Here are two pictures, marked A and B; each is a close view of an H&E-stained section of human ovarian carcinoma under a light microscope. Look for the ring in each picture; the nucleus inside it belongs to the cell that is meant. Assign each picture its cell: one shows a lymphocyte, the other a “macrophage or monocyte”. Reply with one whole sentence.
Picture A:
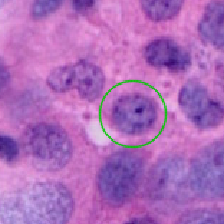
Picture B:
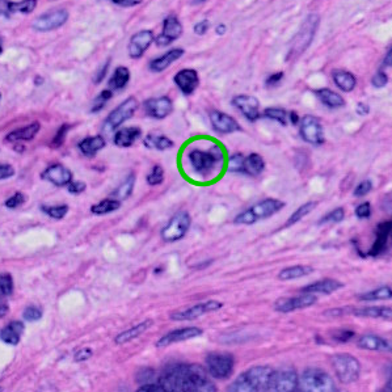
In picture A the cell is a “macrophage or monocyte”; in picture B, a lymphocyte.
